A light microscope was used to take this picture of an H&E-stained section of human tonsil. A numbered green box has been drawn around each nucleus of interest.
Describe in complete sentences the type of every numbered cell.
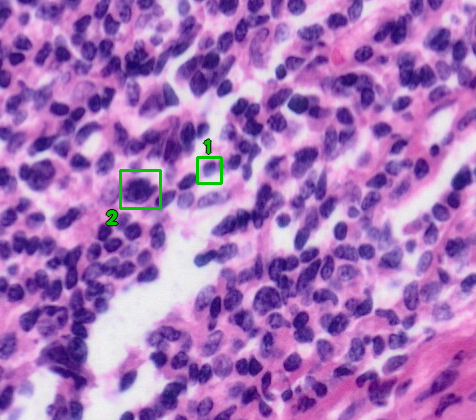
Cell 1 is a small lymphocyte. Cell 2 is a proliferating B cell.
